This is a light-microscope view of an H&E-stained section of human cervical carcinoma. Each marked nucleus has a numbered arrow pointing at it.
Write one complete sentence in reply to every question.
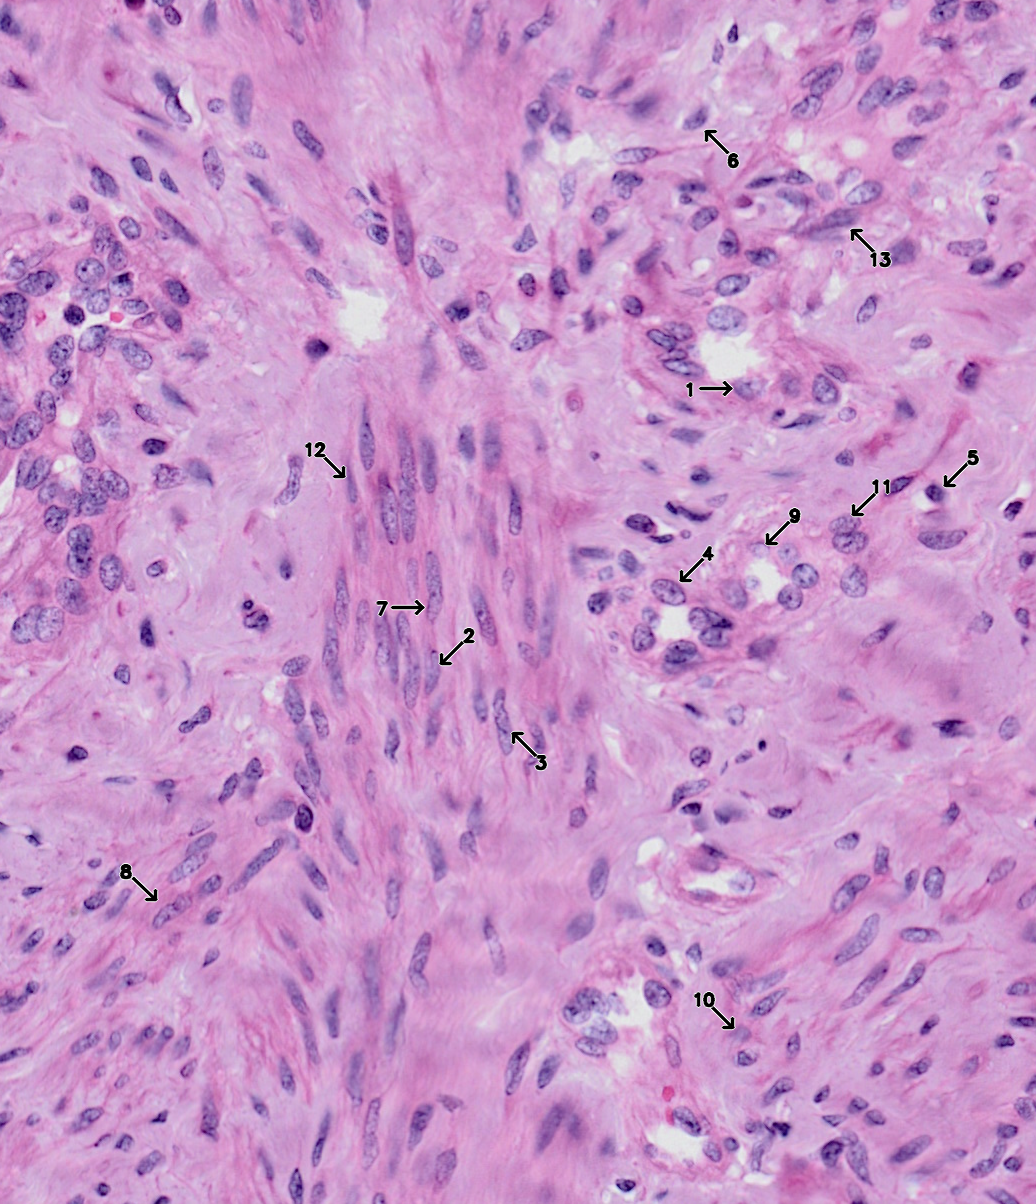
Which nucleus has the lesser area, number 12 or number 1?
It is nucleus 12; nucleus 1 has about 1.5 times its area.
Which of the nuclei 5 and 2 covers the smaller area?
It is nucleus 5; nucleus 2 has about 1.5 times its area.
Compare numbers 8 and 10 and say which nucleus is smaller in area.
With nucleus 8 about 2 times its size, nucleus 10 is the smaller of the two.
